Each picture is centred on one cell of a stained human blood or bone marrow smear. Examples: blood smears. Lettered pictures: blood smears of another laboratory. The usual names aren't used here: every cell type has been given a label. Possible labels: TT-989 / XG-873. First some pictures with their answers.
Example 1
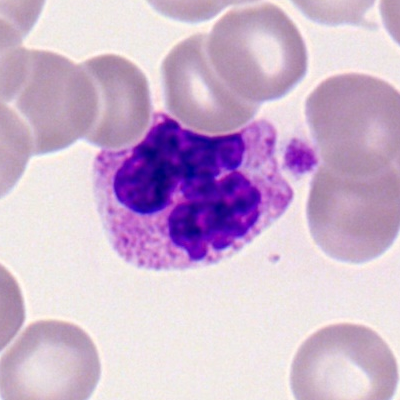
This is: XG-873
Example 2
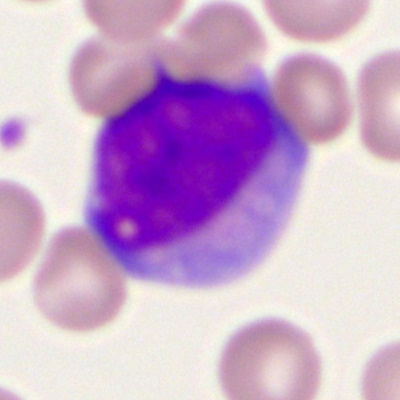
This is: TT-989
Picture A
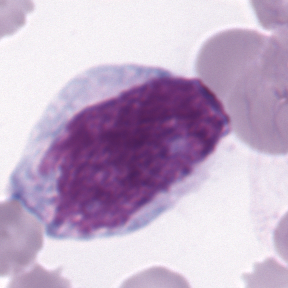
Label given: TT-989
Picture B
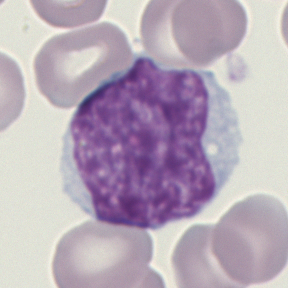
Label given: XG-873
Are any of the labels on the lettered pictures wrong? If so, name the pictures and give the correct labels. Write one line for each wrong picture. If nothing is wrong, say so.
B: TT-989, not XG-873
